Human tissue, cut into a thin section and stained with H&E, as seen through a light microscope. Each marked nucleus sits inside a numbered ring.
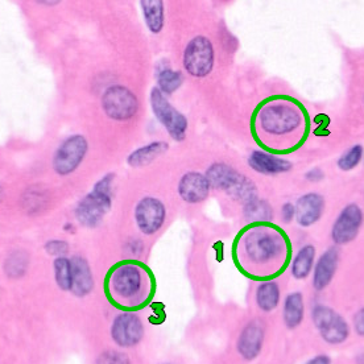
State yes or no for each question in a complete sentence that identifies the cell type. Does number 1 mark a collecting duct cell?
Yes, the cell with the number 1 is a collecting duct cell.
